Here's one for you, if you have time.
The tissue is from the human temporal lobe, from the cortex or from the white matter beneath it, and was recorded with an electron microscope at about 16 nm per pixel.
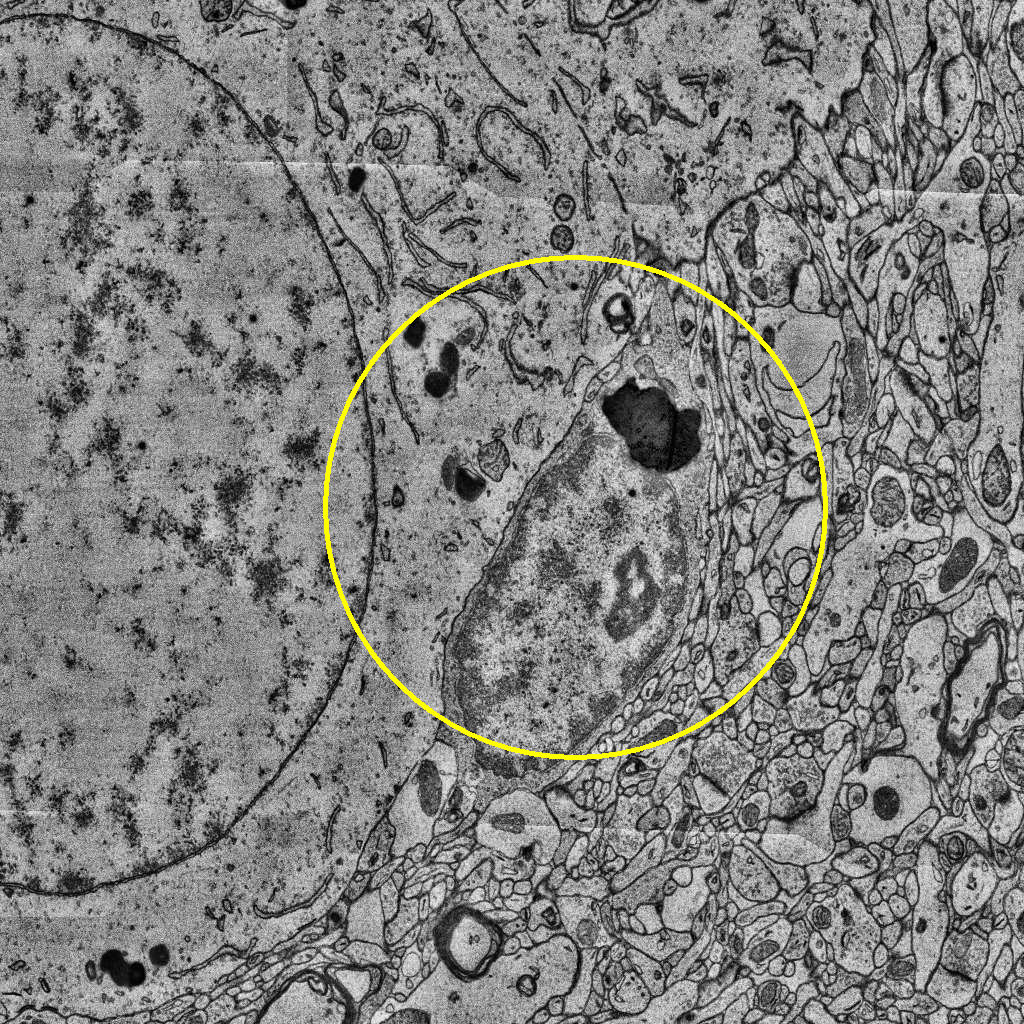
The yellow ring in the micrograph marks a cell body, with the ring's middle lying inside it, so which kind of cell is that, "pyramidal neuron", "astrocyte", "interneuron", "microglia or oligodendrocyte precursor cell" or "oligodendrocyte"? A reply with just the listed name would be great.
oligodendrocyte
